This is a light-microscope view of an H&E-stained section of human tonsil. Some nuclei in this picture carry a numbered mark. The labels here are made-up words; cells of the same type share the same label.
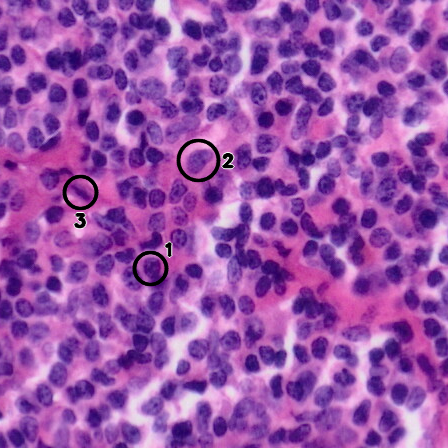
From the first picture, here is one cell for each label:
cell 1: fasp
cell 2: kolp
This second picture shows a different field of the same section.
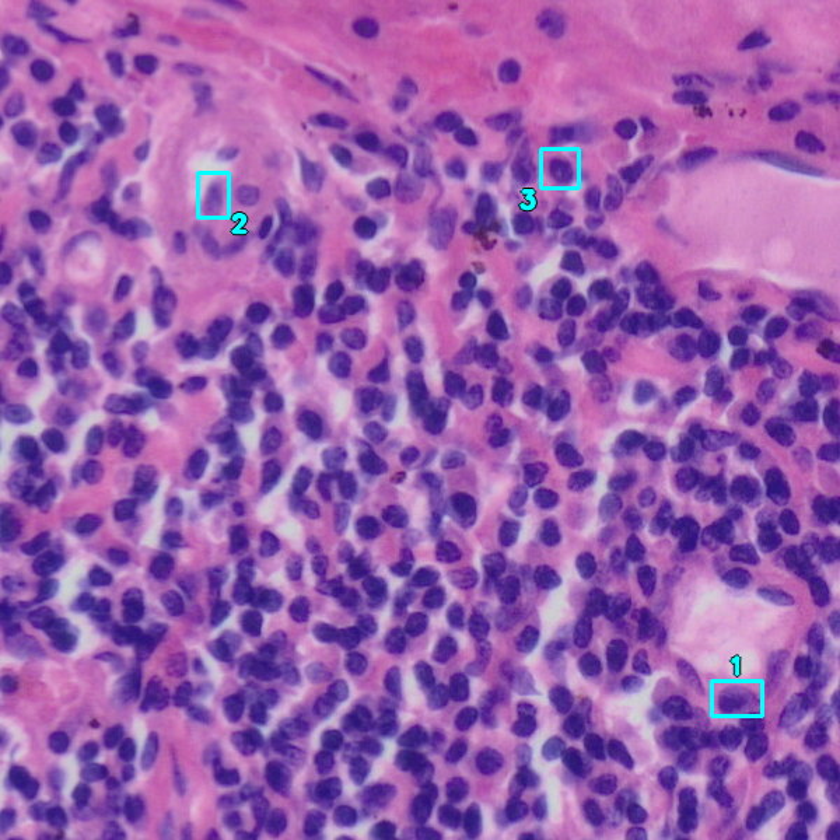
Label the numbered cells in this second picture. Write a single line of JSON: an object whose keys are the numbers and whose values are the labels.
{"1": "kolp", "2": "kolp", "3": "fasp"}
